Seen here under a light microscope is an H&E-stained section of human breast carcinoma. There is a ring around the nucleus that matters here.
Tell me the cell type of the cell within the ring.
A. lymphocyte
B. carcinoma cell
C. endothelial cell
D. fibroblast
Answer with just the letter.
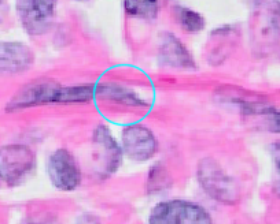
C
